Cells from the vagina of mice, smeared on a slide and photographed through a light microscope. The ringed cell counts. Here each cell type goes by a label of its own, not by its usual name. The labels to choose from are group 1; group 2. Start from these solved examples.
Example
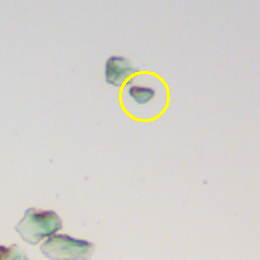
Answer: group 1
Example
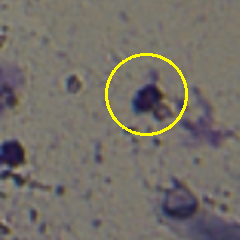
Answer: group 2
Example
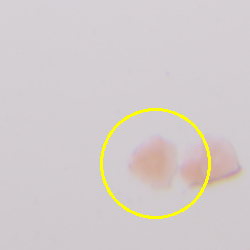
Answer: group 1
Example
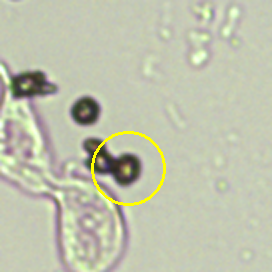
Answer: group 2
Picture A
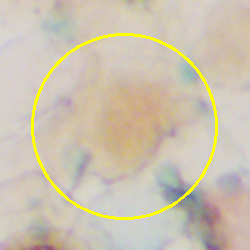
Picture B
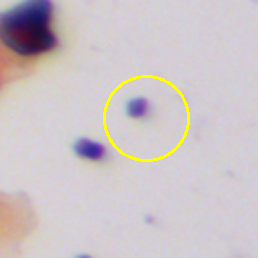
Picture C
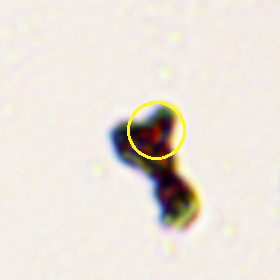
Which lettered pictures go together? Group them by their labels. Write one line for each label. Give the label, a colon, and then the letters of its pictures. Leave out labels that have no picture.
group 1: A
group 2: B, C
